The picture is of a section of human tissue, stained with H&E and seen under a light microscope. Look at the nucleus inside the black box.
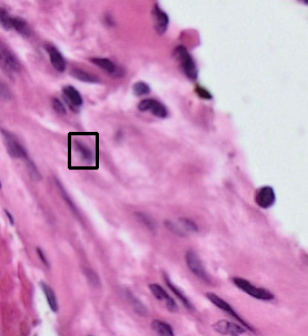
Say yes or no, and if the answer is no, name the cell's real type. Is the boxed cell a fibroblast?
Yes.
